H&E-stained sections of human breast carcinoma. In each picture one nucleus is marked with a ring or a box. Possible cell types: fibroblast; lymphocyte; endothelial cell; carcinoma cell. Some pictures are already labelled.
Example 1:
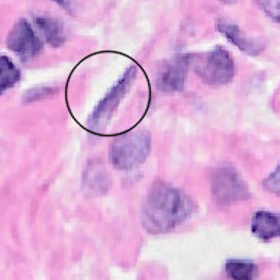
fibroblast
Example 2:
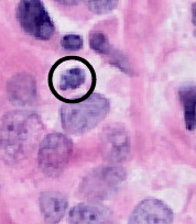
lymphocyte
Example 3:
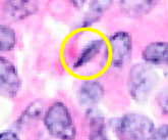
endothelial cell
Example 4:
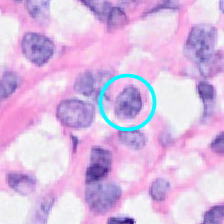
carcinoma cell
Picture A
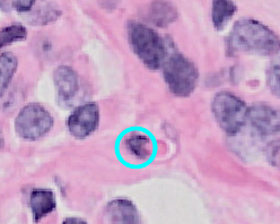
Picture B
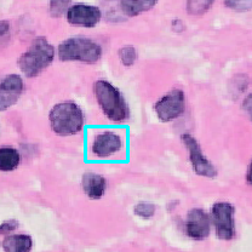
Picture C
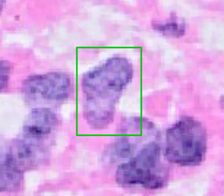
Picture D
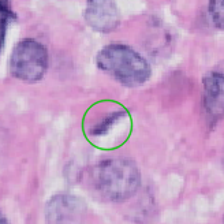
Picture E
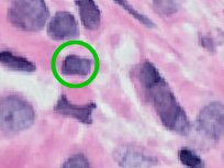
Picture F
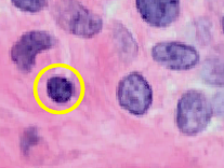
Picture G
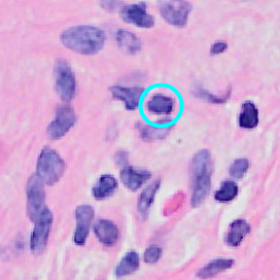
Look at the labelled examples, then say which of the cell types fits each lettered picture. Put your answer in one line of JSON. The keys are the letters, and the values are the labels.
{"A": "endothelial cell", "B": "lymphocyte", "C": "carcinoma cell", "D": "fibroblast", "E": "lymphocyte", "F": "lymphocyte", "G": "lymphocyte"}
